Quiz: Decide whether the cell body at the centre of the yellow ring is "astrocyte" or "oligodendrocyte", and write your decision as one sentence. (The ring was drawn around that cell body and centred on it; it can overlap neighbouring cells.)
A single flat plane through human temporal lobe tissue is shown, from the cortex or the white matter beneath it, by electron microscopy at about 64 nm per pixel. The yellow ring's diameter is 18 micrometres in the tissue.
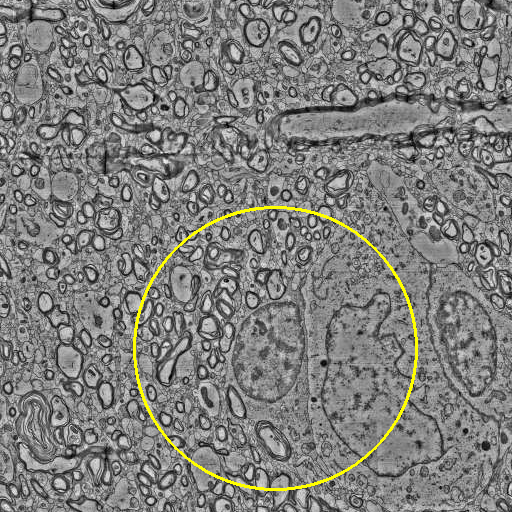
The cell the ring is centred on is an oligodendrocyte.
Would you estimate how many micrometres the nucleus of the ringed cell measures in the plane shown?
Roughly 7 by 5 micrometres is the size of the nucleus in this plane.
